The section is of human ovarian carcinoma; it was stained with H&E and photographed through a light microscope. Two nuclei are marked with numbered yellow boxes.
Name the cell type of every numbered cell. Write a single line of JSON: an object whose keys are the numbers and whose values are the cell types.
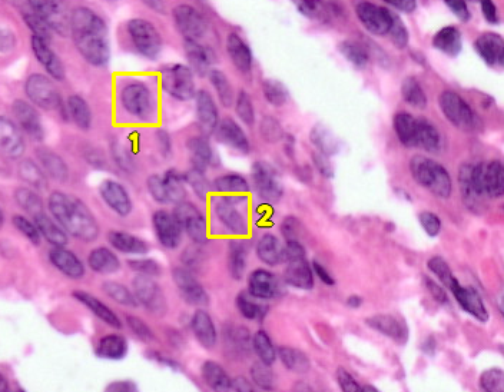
{"1": "macrophage or monocyte", "2": "carcinoma cell"}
